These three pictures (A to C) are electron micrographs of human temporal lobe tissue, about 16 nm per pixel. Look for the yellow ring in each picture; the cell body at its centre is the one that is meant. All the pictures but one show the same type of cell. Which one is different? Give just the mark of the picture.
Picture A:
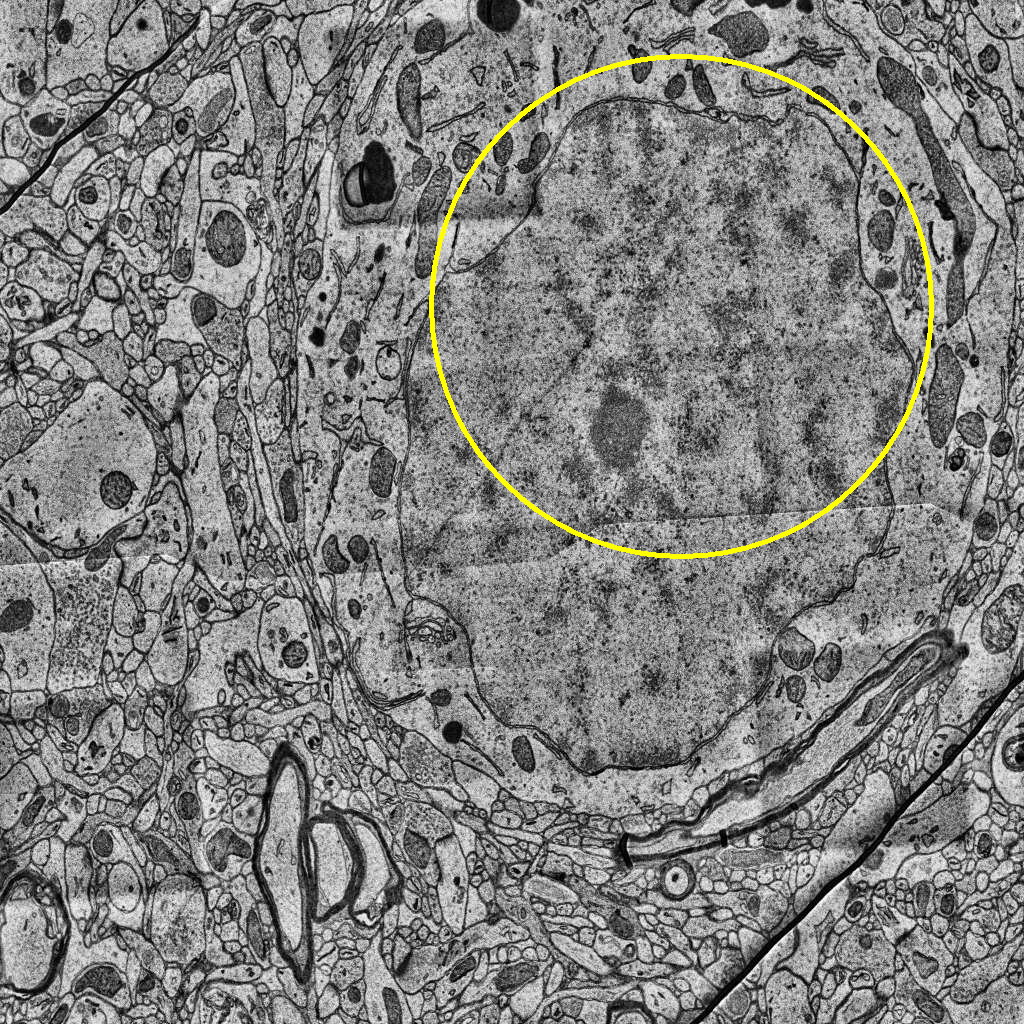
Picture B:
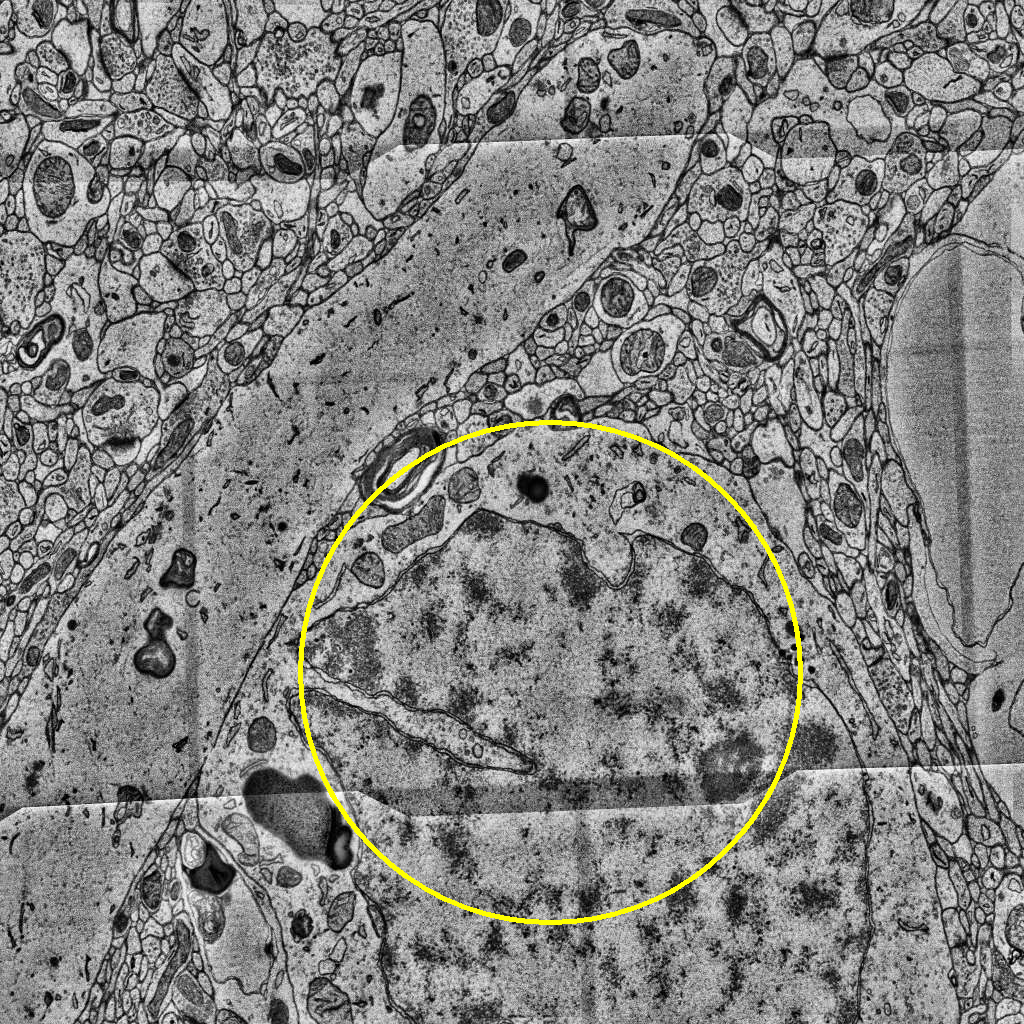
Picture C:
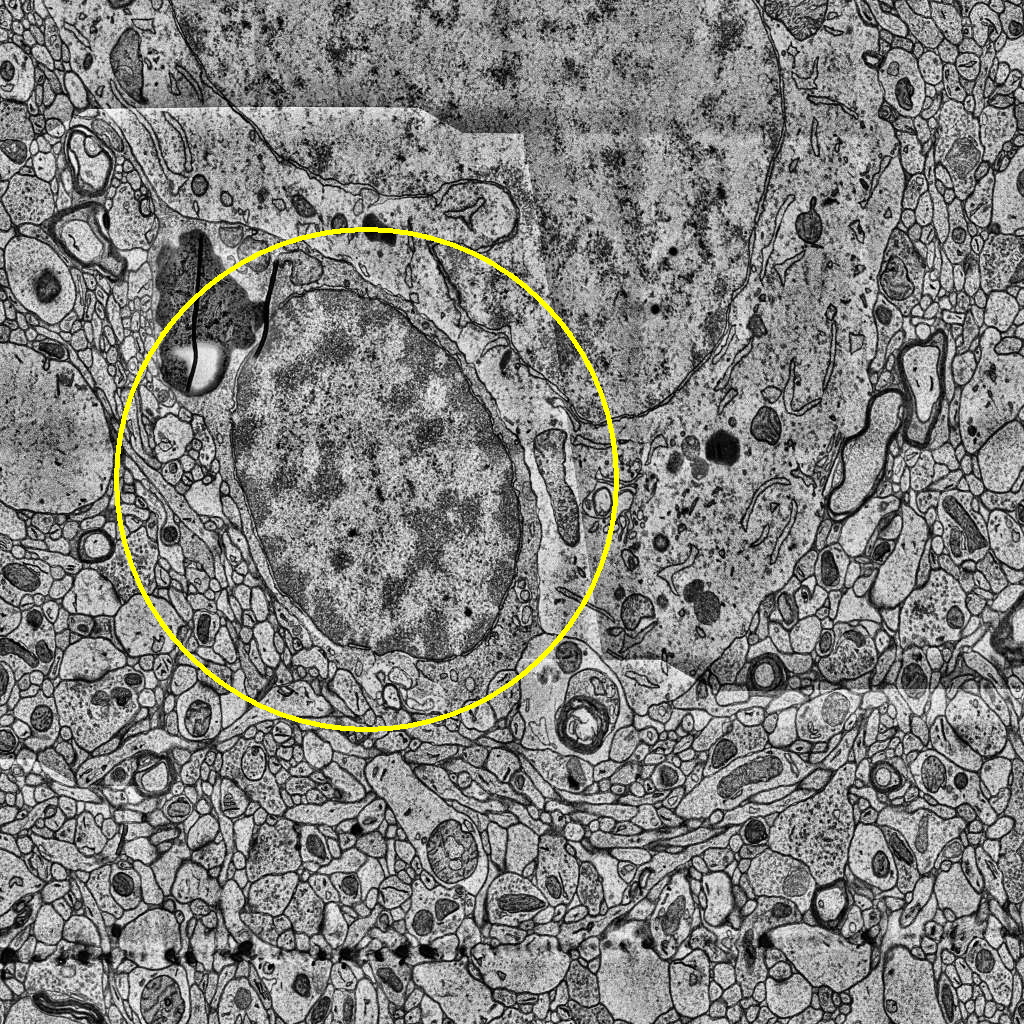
C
